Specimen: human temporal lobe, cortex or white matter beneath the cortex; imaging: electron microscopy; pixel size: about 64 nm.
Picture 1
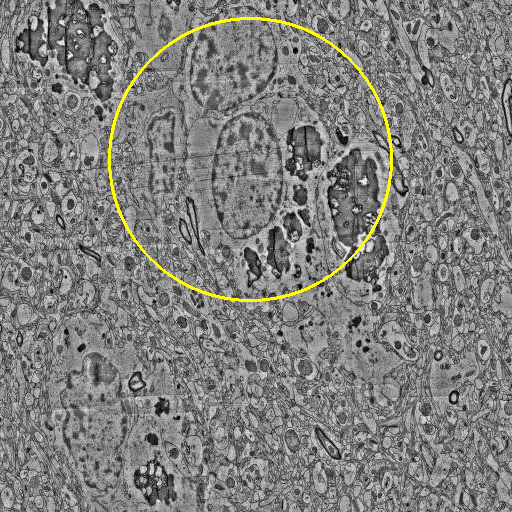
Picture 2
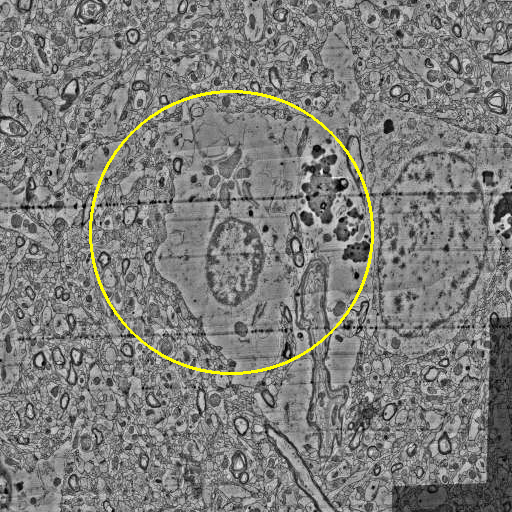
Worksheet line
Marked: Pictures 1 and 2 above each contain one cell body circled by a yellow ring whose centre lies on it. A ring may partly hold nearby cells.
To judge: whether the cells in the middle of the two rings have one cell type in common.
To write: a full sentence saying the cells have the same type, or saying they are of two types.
The cells in the middle of the rings in Picture 1 and Picture 2 have the same type.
